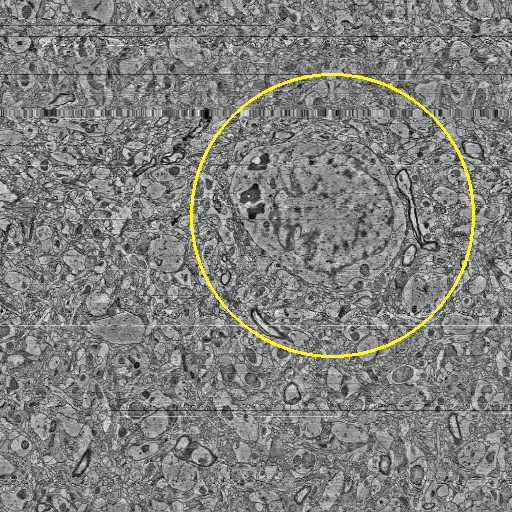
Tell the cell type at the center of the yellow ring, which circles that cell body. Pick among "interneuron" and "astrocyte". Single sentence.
The ring is centered on the body of an interneuron.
